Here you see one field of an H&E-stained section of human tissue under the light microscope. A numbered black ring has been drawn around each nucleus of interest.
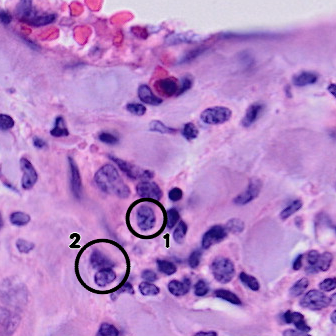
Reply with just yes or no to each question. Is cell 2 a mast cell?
no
